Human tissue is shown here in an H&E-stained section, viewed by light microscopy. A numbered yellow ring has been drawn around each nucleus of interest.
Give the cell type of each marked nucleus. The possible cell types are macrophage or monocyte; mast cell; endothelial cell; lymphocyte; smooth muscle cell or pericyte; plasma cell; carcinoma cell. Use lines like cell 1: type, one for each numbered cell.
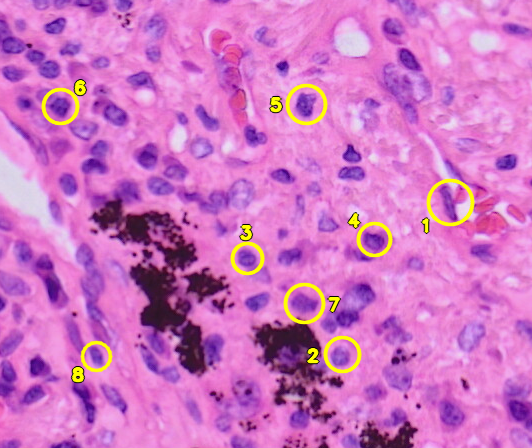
cell 1: endothelial cell
cell 2: lymphocyte
cell 3: lymphocyte
cell 4: plasma cell
cell 5: lymphocyte
cell 6: lymphocyte
cell 7: plasma cell
cell 8: lymphocyte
